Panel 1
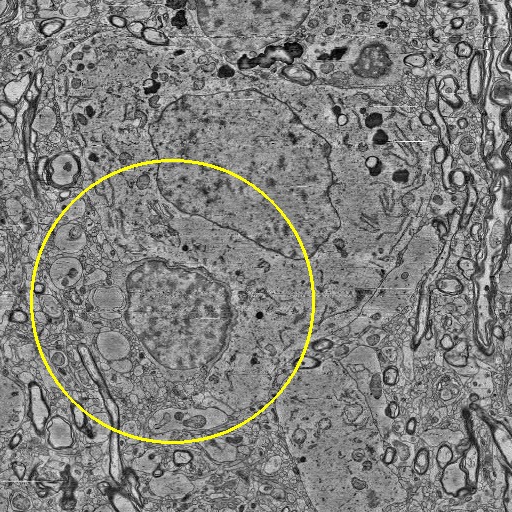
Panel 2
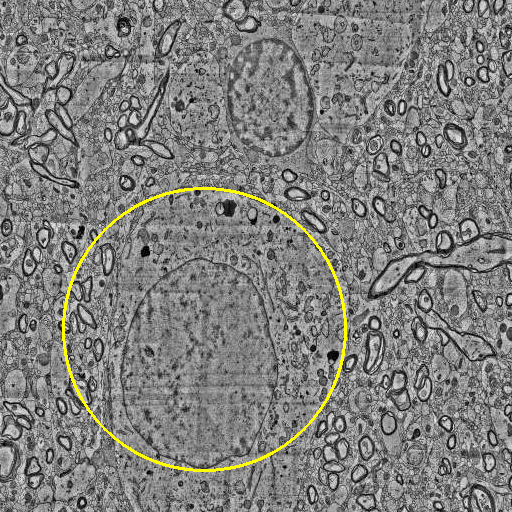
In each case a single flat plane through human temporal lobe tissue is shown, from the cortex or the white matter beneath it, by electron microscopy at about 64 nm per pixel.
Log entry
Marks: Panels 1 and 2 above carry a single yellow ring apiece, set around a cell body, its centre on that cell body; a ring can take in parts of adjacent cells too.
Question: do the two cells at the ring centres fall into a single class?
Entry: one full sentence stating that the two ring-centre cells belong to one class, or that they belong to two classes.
The two ring-centre cells in Panels 1 and 2 belong to two classes.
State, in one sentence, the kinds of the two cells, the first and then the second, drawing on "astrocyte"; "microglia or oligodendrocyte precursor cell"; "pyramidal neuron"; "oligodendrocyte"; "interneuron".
The ring in the second picture is centred on a pyramidal neuron, the ring in the first on an oligodendrocyte.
